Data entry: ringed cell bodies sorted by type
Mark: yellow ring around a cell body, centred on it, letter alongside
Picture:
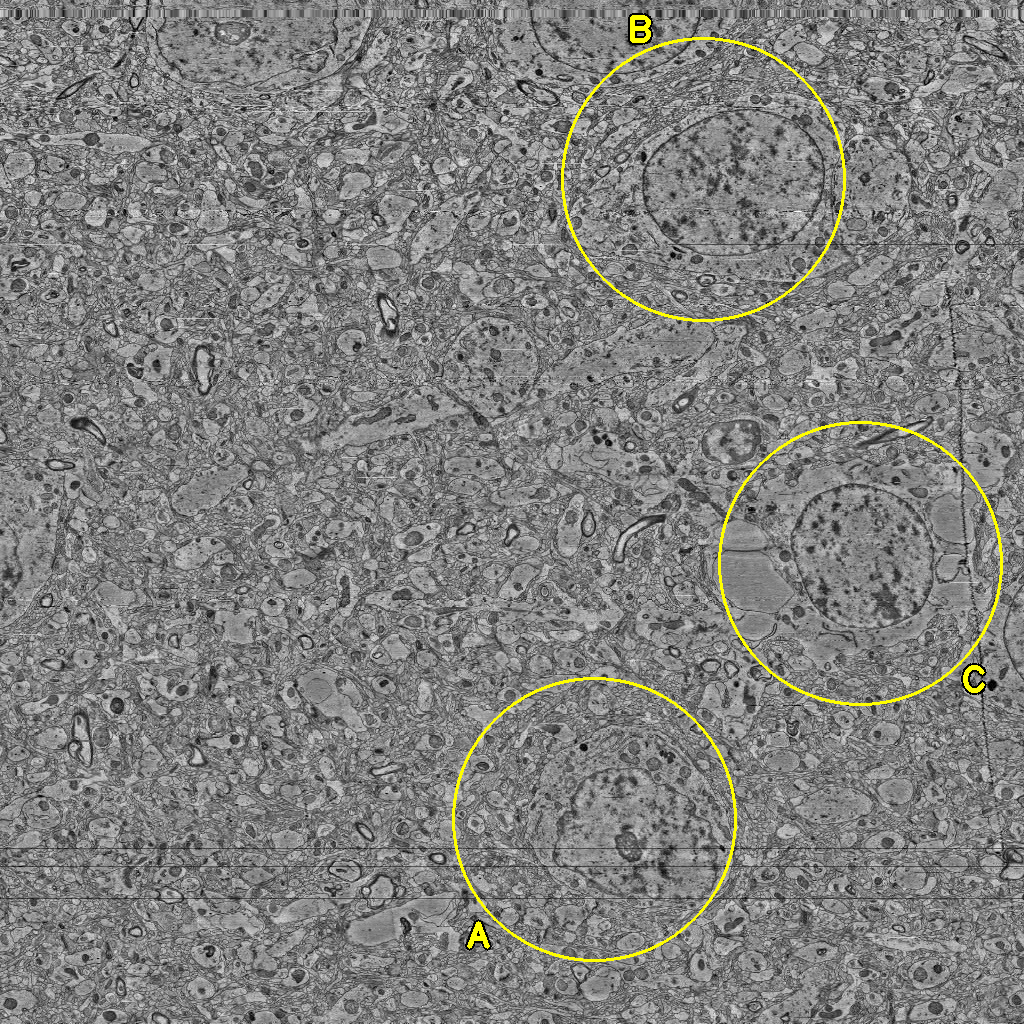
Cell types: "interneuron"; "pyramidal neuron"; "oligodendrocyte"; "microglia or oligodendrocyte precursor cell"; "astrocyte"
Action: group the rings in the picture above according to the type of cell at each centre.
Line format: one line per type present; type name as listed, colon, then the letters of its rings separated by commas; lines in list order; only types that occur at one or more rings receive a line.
interneuron: A
pyramidal neuron: B
astrocyte: C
